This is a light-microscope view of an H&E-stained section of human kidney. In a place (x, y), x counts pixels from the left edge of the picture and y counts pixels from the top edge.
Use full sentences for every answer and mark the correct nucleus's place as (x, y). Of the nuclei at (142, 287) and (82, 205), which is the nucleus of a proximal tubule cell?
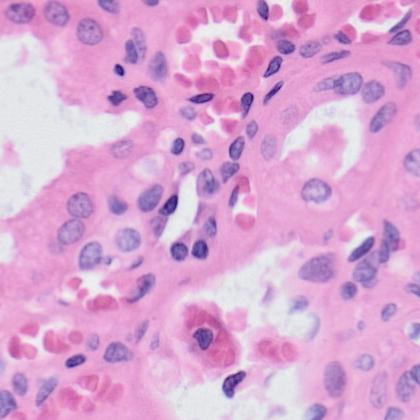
It is the nucleus at (82, 205) that forms part of a proximal tubule cell.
